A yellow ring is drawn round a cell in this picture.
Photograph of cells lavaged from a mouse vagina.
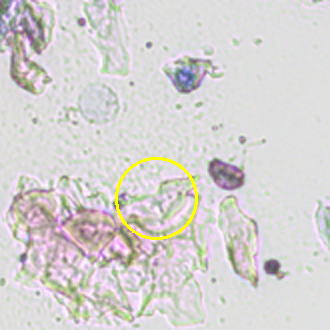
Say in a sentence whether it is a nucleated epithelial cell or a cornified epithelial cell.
The cell in the ring is a cornified epithelial cell.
